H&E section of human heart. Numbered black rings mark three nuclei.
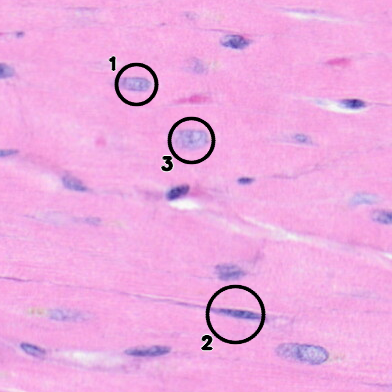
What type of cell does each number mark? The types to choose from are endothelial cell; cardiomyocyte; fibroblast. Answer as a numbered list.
1. cardiomyocyte
2. endothelial cell
3. cardiomyocyte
